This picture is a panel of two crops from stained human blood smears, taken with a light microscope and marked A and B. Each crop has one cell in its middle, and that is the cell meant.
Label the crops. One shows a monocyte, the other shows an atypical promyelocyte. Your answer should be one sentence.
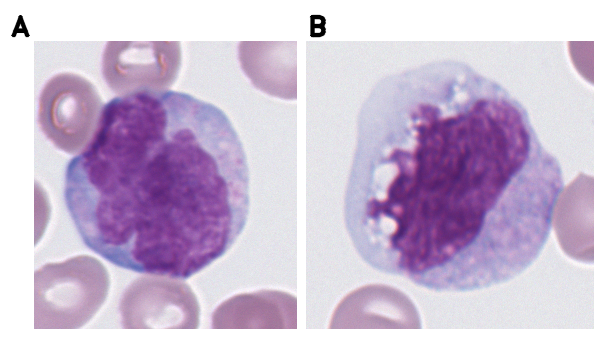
Displayed in crop A is an atypical promyelocyte, while crop B displays a monocyte.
